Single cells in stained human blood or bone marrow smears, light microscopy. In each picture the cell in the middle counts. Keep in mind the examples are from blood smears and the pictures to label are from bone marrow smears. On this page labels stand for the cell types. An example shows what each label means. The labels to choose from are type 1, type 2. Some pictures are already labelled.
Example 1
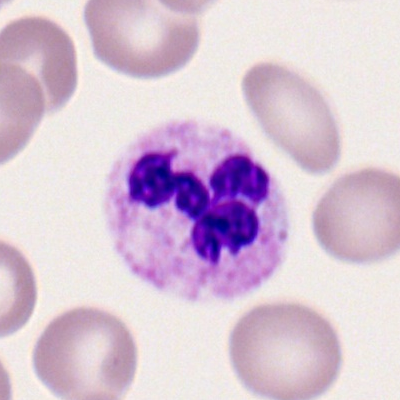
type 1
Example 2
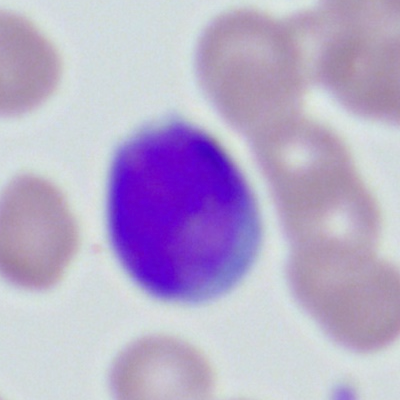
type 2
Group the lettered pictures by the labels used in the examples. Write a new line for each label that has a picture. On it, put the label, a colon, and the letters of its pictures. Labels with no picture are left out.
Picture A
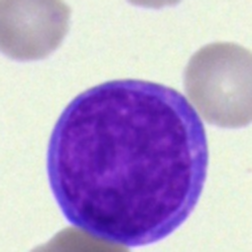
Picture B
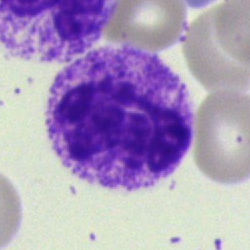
type 1: B
type 2: A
